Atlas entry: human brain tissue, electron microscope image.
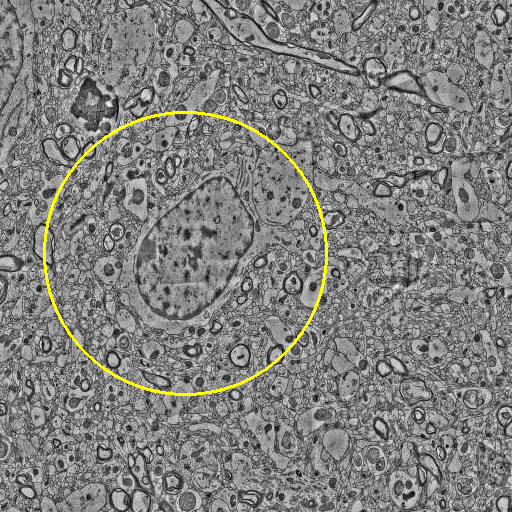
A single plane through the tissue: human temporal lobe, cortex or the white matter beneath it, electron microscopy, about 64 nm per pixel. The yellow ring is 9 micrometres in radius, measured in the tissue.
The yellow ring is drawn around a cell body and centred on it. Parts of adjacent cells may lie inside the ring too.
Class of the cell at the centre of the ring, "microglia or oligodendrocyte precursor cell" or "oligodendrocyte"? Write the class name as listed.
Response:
microglia or oligodendrocyte precursor cell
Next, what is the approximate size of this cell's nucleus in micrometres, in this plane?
In this plane, the nucleus of the cell at the centre of the ring measures about 10 by 6 micrometres.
